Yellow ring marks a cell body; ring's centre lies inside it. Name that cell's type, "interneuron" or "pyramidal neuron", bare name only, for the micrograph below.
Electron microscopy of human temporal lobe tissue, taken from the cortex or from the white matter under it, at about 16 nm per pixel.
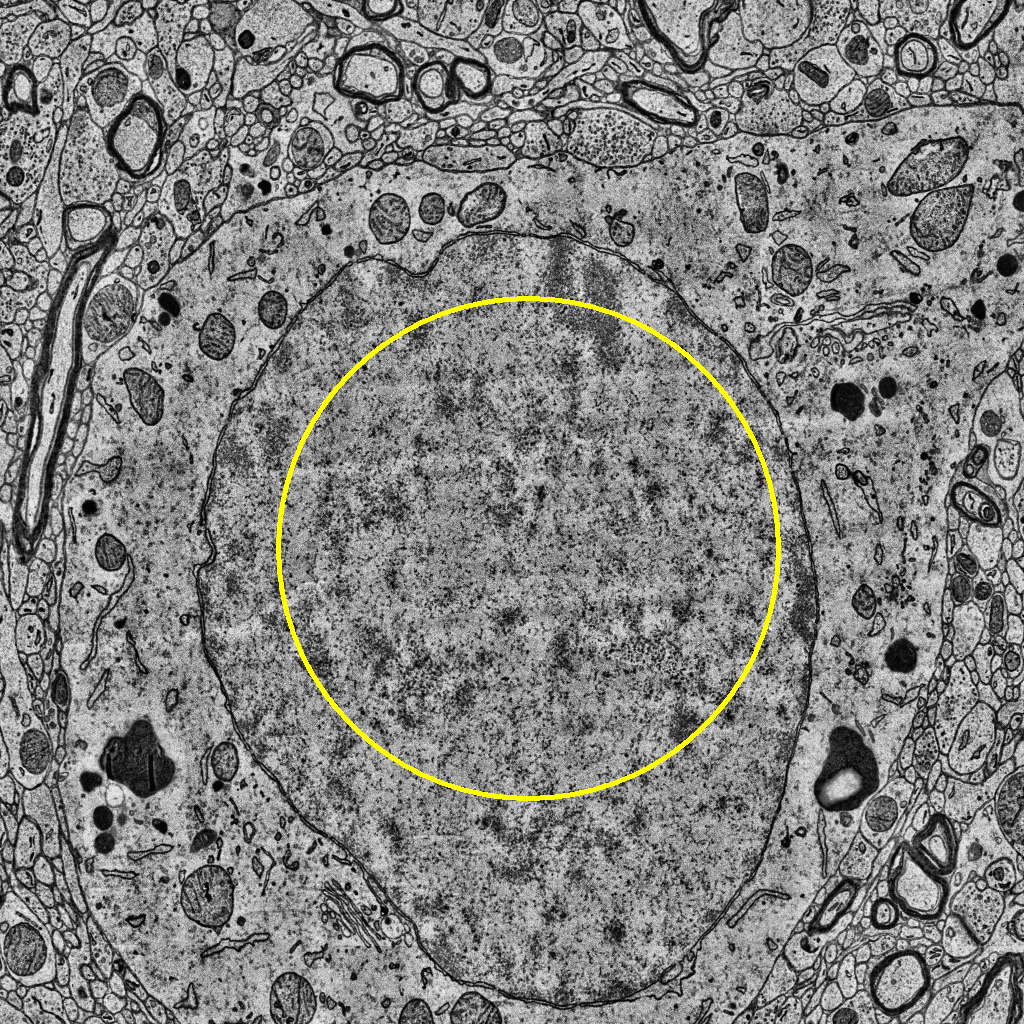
pyramidal neuron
